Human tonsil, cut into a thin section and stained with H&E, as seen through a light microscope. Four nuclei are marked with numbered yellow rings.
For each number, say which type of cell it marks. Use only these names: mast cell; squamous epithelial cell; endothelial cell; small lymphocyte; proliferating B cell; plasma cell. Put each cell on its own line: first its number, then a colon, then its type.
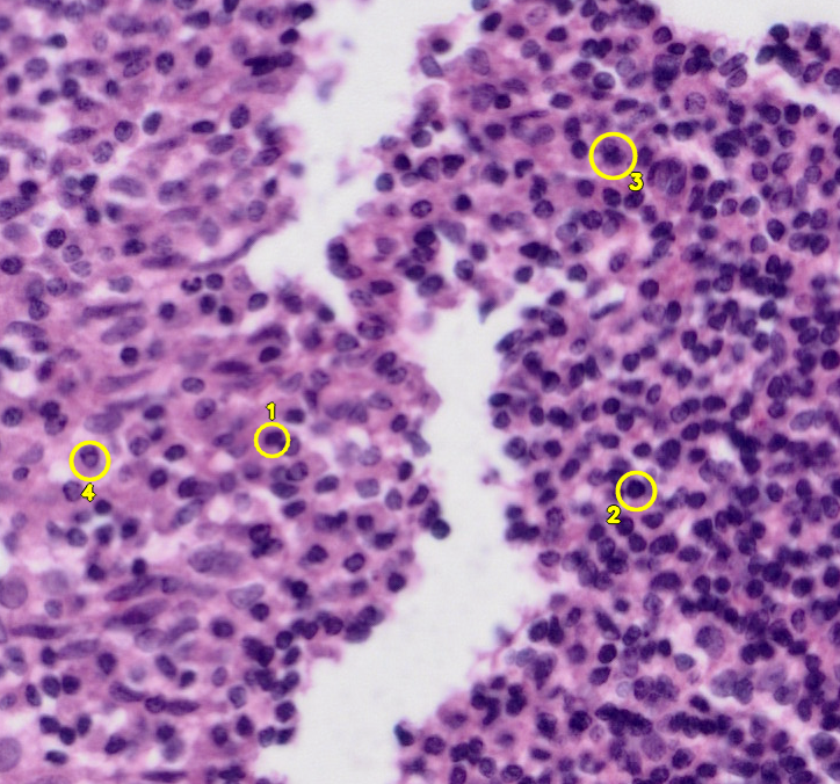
1: plasma cell
2: small lymphocyte
3: plasma cell
4: plasma cell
